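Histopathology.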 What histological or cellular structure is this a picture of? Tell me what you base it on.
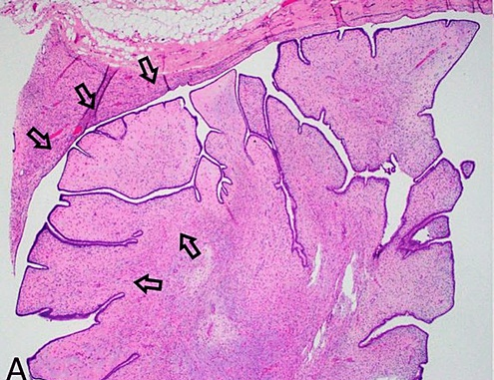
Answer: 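Broad pink stromal fronds project into slit-like clefts. The clefts and fronds are lined by a thin, darker layer of cells. The fronds branch like leaves.
Conclusion: leaf-like patterns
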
